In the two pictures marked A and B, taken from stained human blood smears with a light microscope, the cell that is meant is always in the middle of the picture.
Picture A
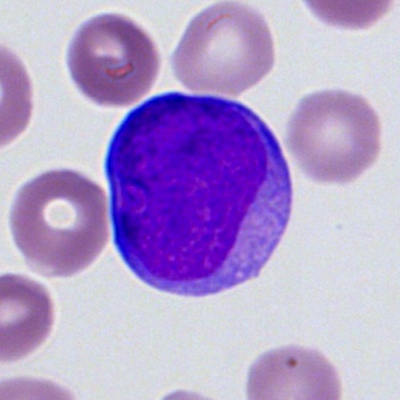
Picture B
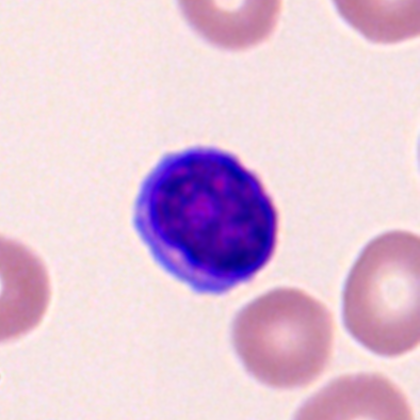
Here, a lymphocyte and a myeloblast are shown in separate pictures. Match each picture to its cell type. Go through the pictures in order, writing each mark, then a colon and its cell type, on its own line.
A: myeloblast
B: lymphocyte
